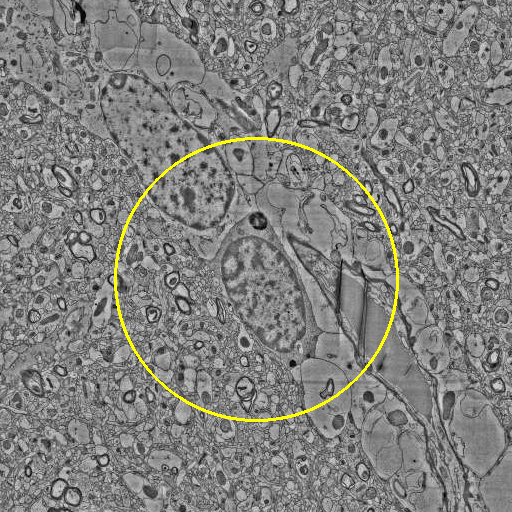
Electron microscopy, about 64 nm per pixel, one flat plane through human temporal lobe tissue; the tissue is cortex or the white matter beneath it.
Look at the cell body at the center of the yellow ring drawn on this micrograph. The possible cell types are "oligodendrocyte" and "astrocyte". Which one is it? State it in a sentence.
The cell in the middle of the ring is an oligodendrocyte.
